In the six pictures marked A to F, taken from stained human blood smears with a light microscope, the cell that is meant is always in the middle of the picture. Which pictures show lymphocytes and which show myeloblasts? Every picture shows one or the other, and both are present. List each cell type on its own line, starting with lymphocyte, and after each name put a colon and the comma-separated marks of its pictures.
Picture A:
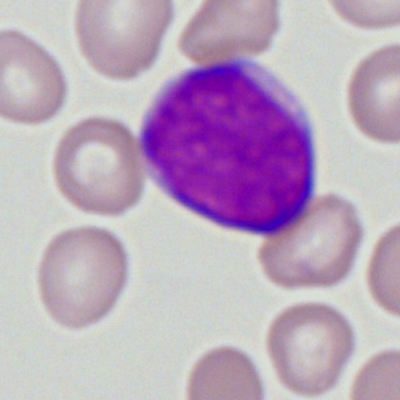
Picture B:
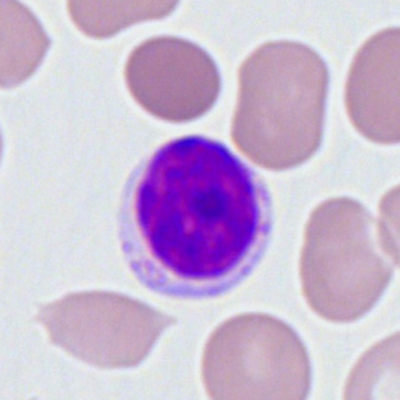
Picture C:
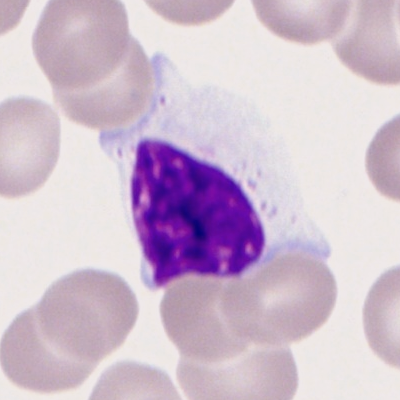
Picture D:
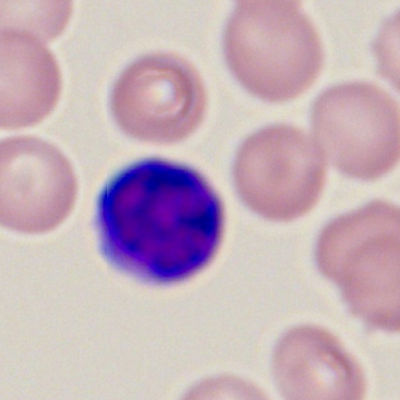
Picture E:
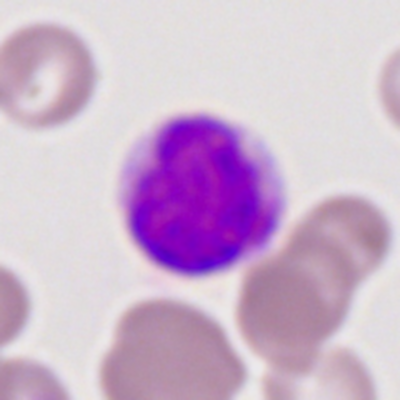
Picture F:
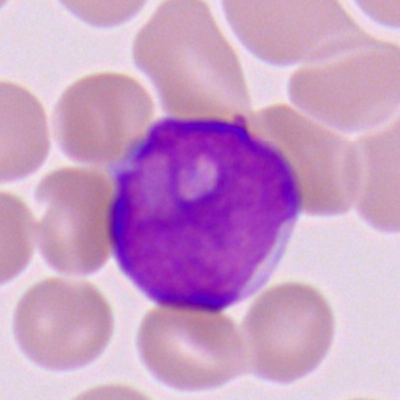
lymphocyte: B, C, D, E
myeloblast: A, F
